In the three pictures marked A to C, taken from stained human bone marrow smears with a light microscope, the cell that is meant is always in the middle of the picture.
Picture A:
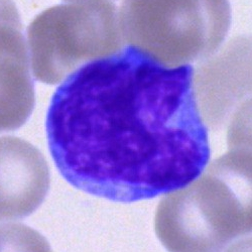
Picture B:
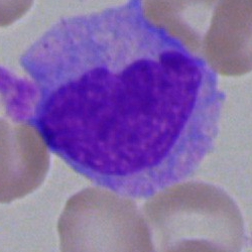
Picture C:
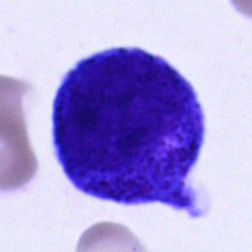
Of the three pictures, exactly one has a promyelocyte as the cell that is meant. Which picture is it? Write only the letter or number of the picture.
C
